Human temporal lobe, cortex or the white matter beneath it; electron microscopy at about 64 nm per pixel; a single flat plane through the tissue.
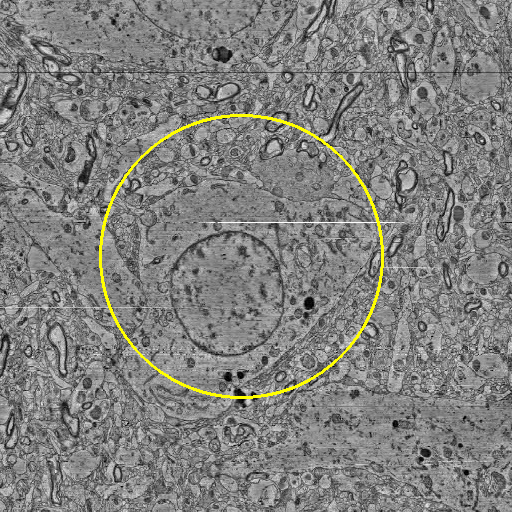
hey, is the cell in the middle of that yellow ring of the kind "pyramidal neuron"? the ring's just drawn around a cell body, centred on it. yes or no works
yes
